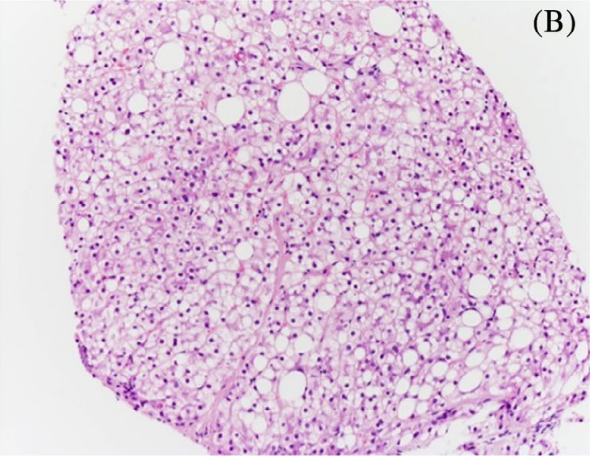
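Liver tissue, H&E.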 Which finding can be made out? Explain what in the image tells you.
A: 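Many hepatocytes contain large round clear vacuoles. Other hepatocytes have finely bubbly, pale cytoplasm. The vacuolated cells fill the whole core. So: macrovesicular and microvesicular steatosis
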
